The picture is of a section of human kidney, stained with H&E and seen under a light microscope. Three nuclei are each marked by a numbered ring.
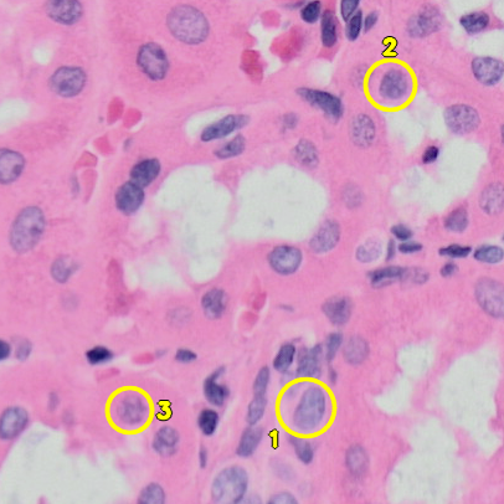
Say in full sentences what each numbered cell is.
Cell 1 is a collecting duct cell, cell 2 is a loop of Henle or distal tubule cell and cell 3 is a loop of Henle or distal tubule cell.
